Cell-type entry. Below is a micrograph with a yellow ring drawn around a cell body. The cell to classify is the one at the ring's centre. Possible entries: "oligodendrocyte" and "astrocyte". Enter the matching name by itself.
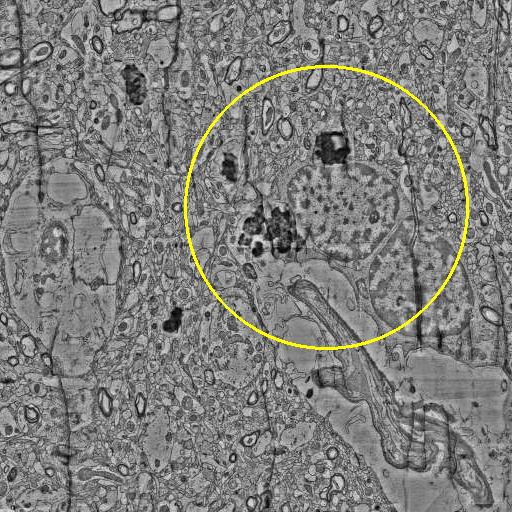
oligodendrocyte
